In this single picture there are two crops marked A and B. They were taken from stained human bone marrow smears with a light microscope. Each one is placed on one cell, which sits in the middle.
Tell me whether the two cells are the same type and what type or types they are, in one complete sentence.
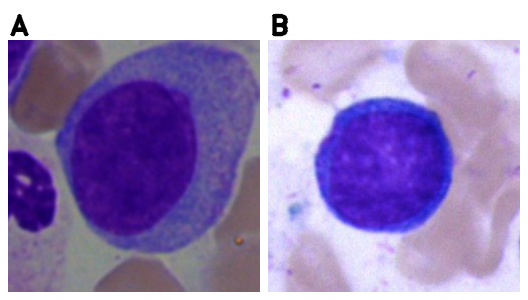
Yes, both crops show blasts, each crop centred on one of them.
